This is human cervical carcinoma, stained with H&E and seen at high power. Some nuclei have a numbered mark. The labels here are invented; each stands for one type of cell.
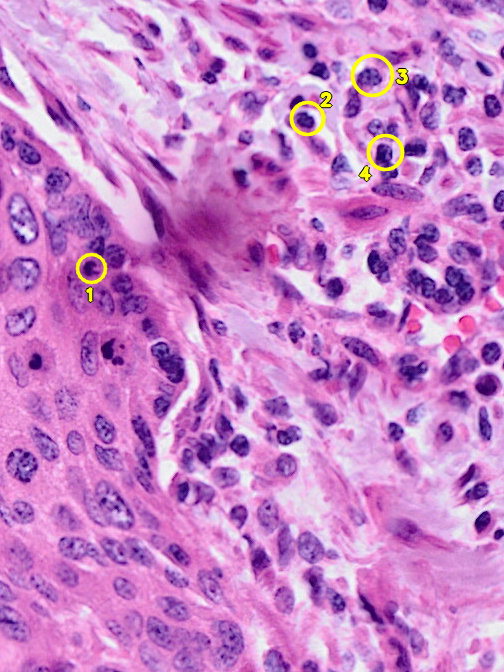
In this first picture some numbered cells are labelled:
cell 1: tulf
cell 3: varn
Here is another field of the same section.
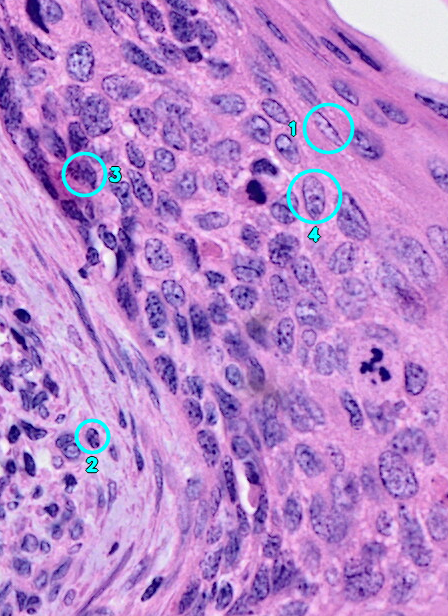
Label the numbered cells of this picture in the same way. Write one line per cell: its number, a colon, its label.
1: tulf
2: varn
3: tulf
4: tulf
